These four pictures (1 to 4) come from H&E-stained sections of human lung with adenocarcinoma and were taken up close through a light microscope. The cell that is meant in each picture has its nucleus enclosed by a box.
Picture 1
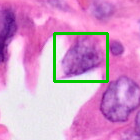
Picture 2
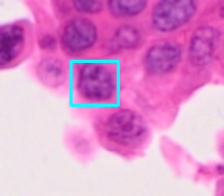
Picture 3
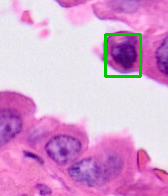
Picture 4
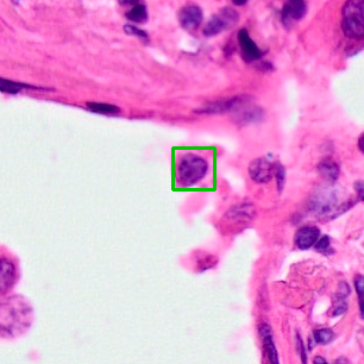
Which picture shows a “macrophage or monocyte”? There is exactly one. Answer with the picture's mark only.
4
